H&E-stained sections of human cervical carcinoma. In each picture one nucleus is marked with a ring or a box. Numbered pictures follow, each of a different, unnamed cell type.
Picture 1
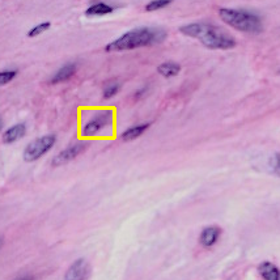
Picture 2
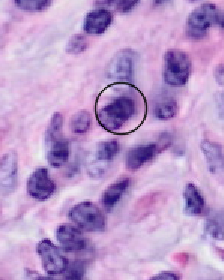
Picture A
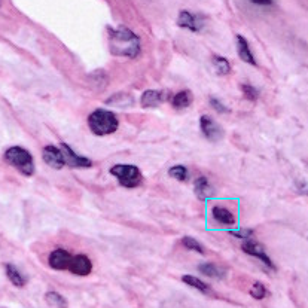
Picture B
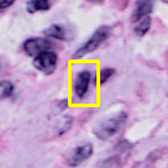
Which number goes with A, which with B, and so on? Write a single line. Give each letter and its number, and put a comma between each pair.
A 1, B 2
